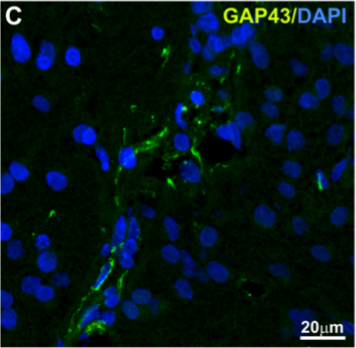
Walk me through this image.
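Numerous oval and round blue nuclei of fairly uniform size are spread through the field without a layered arrangement. Between them run thin green fibres, often beaded or varicose, that wind and branch irregularly; some follow the edges of nuclei and a few converge into short bundles in the lower left. The fibres are much thinner than the nuclei are wide and do not outline whole cell bodies. The background between nuclei is dark with faint diffuse green.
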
